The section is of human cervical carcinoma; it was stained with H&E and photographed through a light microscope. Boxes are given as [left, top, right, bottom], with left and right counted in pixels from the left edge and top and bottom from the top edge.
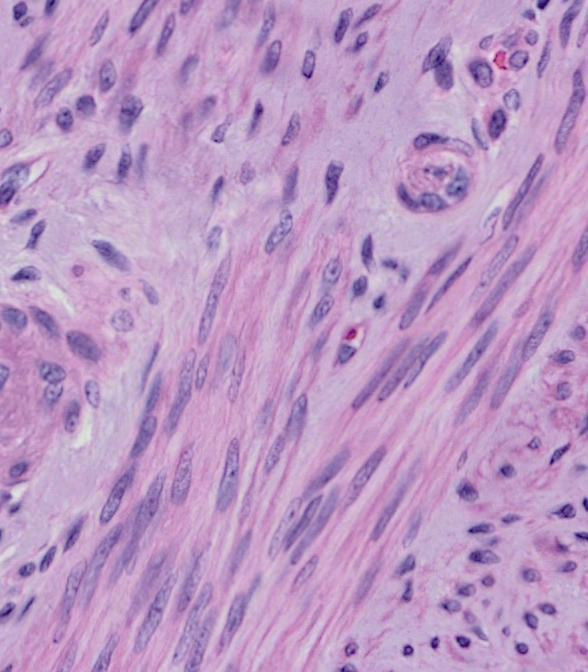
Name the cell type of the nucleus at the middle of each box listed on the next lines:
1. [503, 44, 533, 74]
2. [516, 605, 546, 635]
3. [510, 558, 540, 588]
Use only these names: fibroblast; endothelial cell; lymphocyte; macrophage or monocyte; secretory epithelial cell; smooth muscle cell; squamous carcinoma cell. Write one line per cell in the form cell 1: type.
cell 1: endothelial cell
cell 2: smooth muscle cell
cell 3: smooth muscle cell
